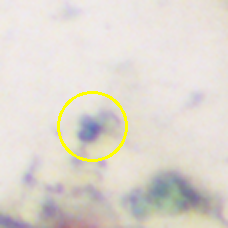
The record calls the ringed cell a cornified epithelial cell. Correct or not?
Not correct; it is a leukocyte.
